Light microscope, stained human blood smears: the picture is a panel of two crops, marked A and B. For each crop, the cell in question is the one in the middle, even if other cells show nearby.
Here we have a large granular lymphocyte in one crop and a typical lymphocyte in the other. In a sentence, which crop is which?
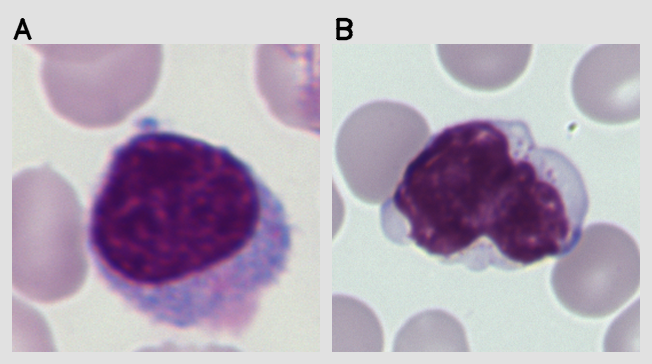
Represented in crop A is a typical lymphocyte; represented in crop B is a large granular lymphocyte.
